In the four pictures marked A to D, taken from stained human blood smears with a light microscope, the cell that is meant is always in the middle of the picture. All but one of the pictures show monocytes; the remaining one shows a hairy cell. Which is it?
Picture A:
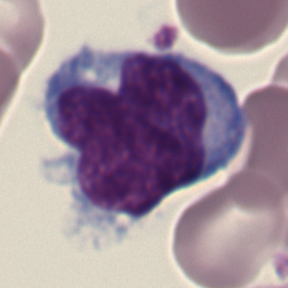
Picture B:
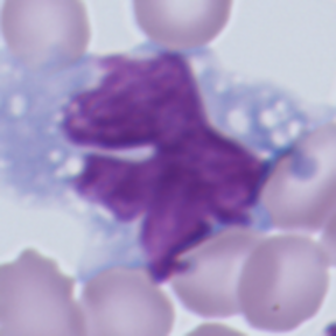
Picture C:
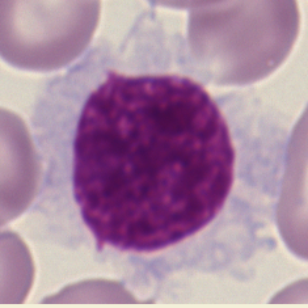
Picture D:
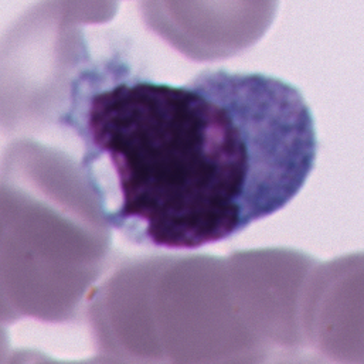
C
